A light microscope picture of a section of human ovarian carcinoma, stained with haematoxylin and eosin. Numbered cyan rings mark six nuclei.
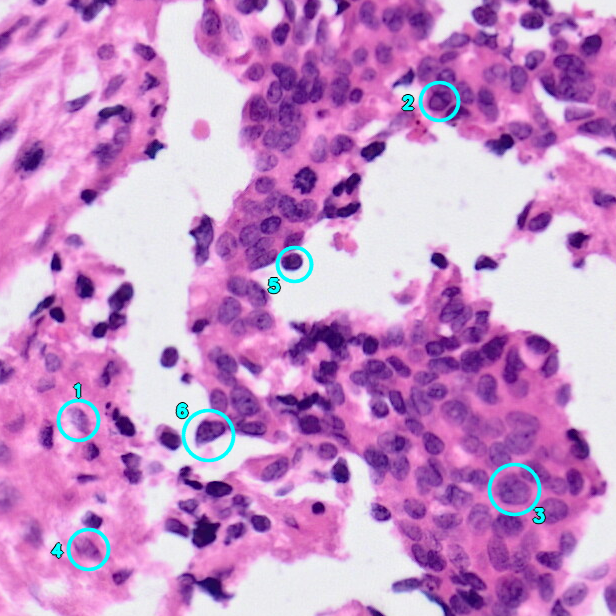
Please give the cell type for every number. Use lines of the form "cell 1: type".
cell 1: fibroblast
cell 2: carcinoma cell
cell 3: carcinoma cell
cell 4: fibroblast
cell 5: carcinoma cell
cell 6: carcinoma cell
